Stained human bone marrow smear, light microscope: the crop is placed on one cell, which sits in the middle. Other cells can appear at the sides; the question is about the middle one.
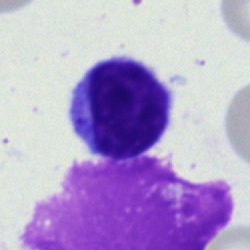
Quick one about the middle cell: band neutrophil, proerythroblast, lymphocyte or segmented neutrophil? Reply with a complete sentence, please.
On this slide crop, the central cell is a lymphocyte.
